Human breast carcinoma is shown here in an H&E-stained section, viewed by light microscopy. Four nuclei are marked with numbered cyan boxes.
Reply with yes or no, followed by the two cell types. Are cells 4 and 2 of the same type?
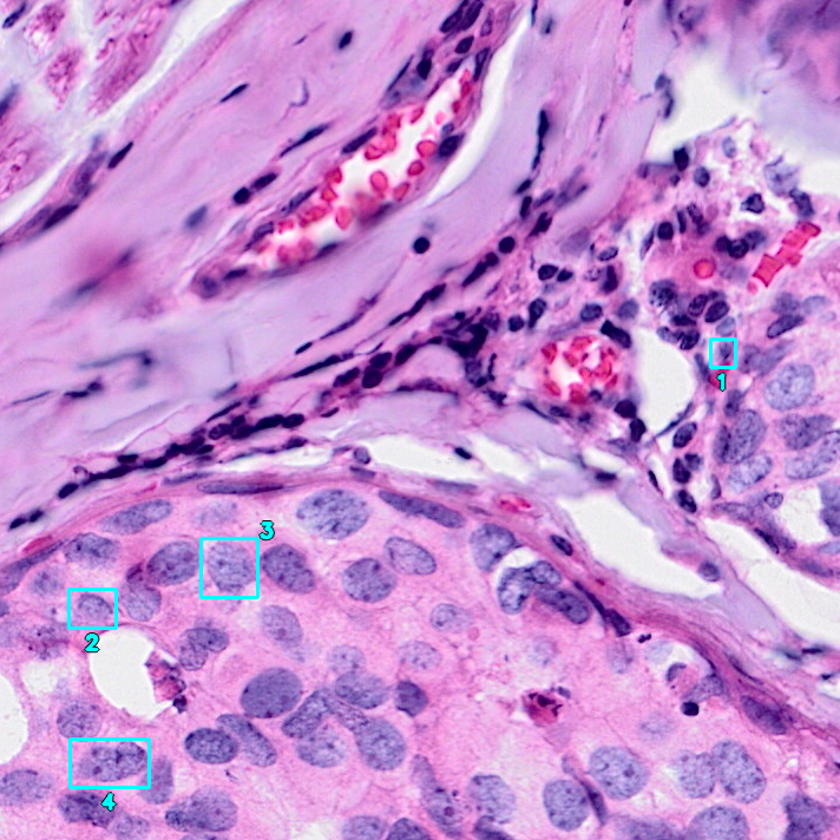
Yes, the two numbered cells 4 and 2 are both carcinoma cells.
